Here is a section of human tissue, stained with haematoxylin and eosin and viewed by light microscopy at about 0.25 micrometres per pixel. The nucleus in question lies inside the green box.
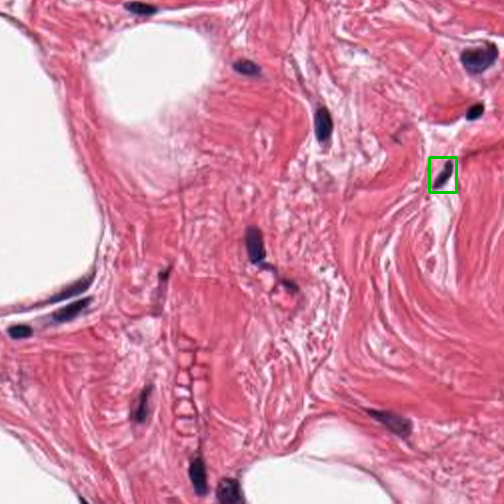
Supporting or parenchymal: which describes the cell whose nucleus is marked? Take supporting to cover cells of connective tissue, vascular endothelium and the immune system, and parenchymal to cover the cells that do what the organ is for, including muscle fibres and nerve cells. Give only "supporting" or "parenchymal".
supporting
